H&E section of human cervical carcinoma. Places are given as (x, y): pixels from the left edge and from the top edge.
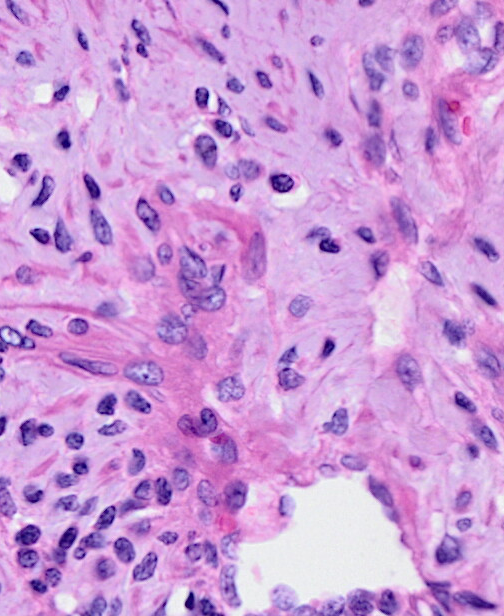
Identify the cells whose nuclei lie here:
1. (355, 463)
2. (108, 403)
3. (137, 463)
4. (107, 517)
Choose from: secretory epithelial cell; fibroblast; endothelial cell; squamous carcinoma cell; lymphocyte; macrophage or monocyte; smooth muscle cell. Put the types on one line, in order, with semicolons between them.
endothelial cell; lymphocyte; lymphocyte; lymphocyte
